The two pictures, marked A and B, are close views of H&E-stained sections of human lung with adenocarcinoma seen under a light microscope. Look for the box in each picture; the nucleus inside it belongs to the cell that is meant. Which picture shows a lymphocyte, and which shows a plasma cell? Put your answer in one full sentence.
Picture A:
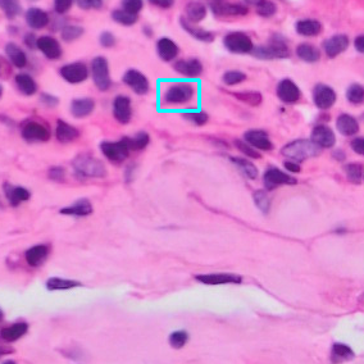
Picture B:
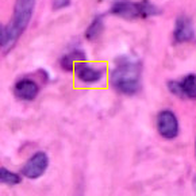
In picture A the cell is a lymphocyte; in picture B, a plasma cell.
